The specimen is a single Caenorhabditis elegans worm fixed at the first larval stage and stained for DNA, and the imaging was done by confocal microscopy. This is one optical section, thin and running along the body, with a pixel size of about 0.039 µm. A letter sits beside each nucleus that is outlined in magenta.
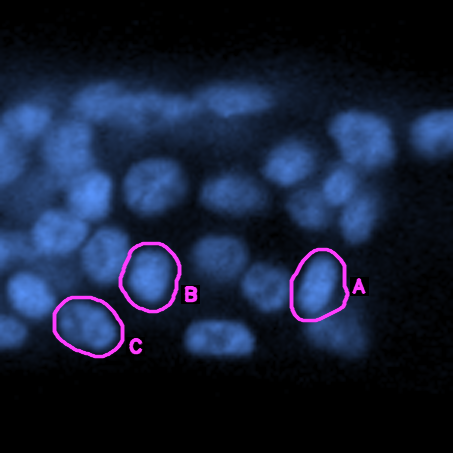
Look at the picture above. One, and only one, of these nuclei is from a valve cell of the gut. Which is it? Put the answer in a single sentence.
It is A that belongs to a valve cell of the gut.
